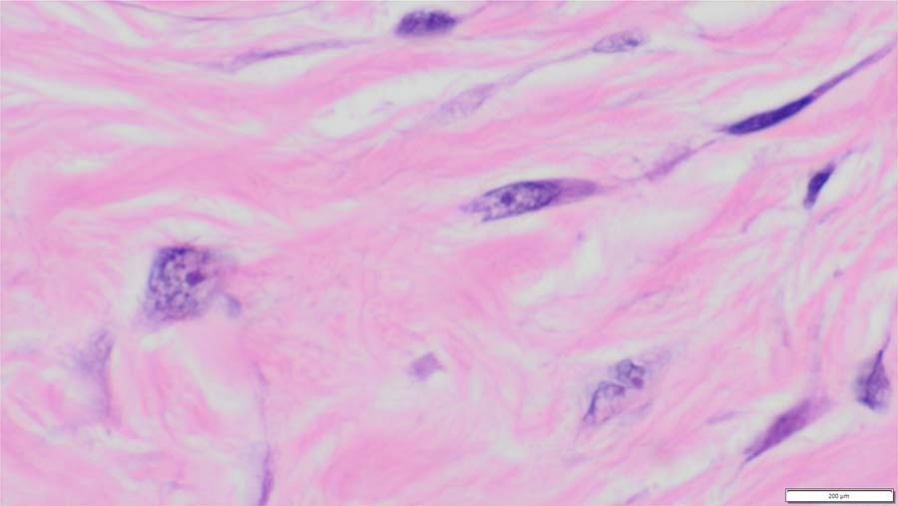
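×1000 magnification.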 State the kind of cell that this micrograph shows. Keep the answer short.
Spindle cells.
